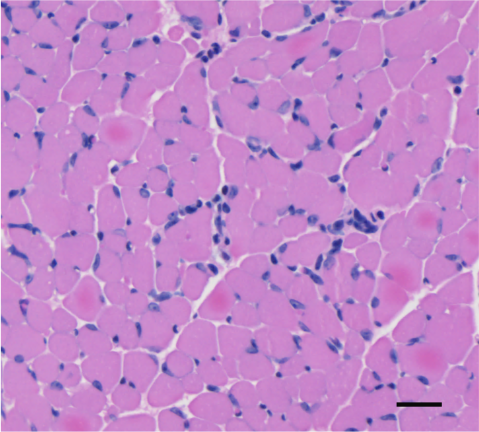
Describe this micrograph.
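Transverse section of skeletal muscle in which the polygonal muscle fibers look small and numerous for the field. Dark purple nuclei look crowded because the fibers are small, and they lie mainly at the fiber margins. Pale interstitial spaces between fibers are wider and more frequent than in a densely packed section. Scattered fibers stain a deeper, more intense pink than their neighbours.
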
